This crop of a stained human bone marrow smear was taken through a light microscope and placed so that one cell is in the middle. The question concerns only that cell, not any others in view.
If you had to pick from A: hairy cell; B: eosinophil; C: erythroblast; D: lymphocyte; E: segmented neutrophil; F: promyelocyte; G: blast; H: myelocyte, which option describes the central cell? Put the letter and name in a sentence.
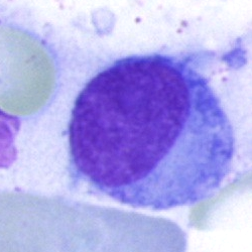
The central cell of the crop is a hairy cell, which makes A the correct option.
